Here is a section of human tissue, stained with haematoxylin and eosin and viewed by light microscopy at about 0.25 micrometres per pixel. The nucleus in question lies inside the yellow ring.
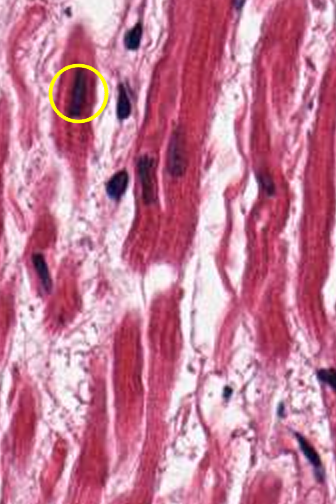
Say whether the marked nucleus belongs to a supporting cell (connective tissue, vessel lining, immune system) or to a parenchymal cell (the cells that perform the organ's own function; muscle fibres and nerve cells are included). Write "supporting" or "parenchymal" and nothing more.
parenchymal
